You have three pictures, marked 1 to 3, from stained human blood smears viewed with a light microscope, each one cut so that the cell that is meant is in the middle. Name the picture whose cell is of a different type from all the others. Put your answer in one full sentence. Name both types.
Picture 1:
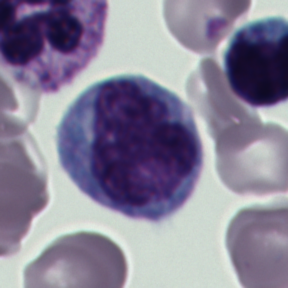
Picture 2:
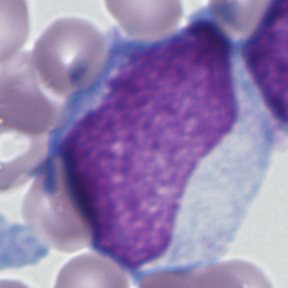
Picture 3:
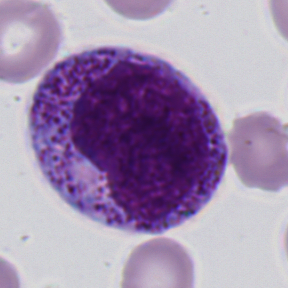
All pictures except 1 show promyelocytes; picture 1 shows a monocyte.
